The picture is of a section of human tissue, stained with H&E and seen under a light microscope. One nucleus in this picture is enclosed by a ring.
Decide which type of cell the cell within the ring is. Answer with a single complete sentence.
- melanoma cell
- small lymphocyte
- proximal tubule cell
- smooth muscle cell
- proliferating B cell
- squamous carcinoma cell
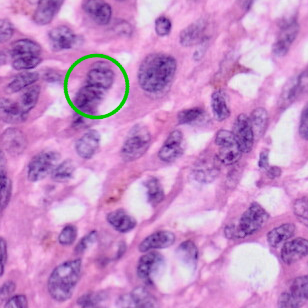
Among the cells in this section, the cell within the ring is a melanoma cell.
